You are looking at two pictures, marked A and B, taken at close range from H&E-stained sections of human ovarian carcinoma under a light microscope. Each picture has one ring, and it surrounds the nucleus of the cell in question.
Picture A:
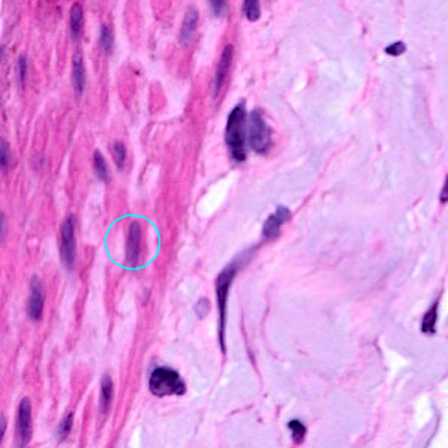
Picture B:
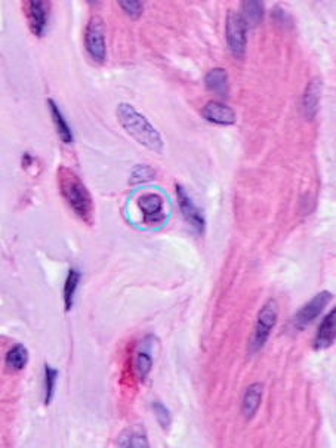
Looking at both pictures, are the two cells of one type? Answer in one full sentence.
No, they differ: the cell is a smooth muscle cell in picture A and an endothelial cell in picture B.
